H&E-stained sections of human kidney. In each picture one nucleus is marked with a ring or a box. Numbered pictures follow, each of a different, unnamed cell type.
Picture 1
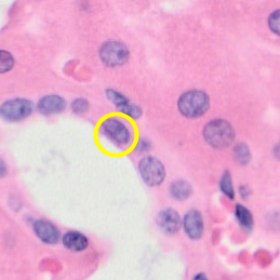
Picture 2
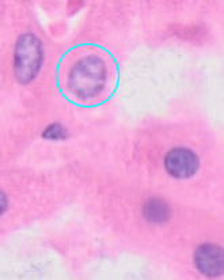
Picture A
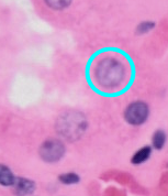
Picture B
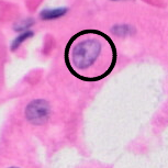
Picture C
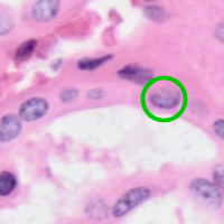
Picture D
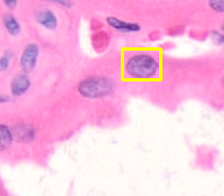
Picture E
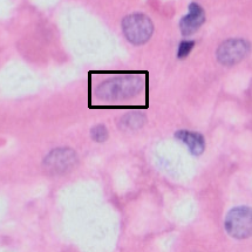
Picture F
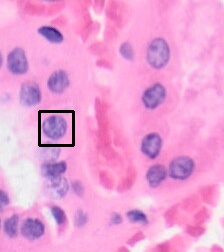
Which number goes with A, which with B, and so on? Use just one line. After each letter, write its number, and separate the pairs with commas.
A 2, B 2, C 1, D 2, E 2, F 1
